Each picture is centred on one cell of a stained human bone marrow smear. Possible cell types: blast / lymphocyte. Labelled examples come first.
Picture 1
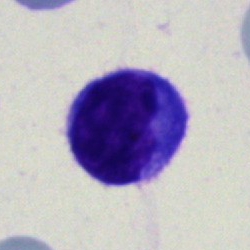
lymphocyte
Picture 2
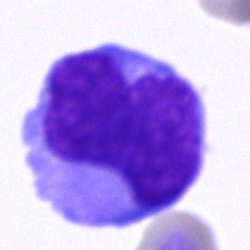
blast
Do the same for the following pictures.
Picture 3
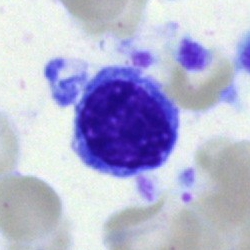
lymphocyte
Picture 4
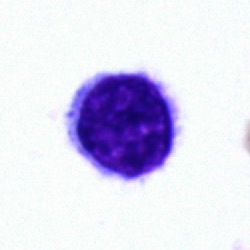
lymphocyte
